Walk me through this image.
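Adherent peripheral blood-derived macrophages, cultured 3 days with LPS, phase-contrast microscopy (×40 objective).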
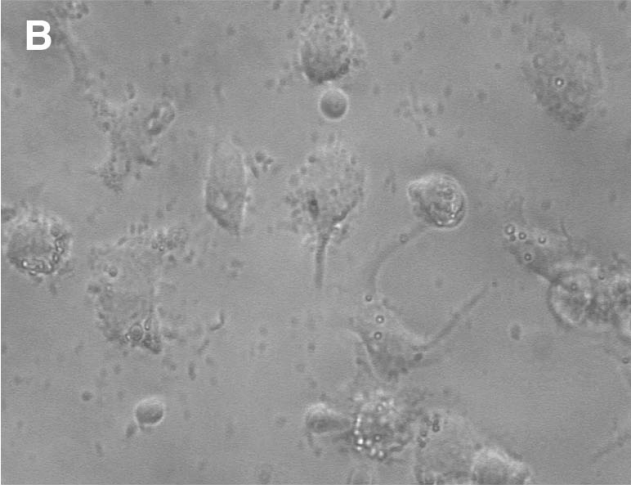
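The cytoplasm is granular and holds many small bright round vacuoles or droplets, especially in the cells at the lower middle and right. A few cells remain small and round, lying among the spread ones. Overall the picture is of activated, spreading, vacuole-rich phagocytic cells.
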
